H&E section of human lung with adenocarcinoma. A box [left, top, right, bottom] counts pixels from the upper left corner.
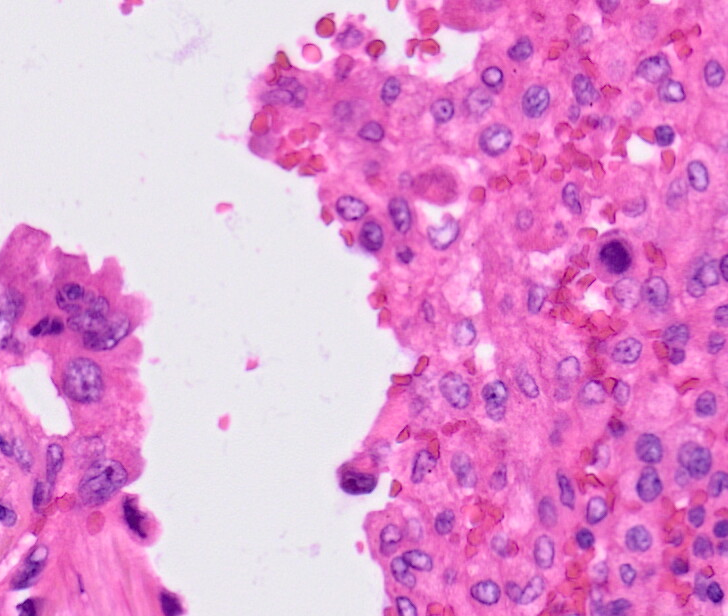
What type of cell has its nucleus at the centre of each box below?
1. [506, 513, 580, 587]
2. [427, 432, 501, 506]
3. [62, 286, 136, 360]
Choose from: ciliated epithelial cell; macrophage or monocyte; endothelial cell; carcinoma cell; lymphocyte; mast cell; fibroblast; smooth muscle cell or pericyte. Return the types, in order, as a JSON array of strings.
["macrophage or monocyte", "macrophage or monocyte", "carcinoma cell"]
